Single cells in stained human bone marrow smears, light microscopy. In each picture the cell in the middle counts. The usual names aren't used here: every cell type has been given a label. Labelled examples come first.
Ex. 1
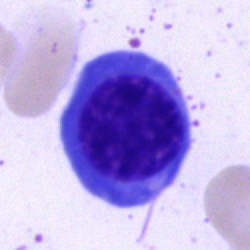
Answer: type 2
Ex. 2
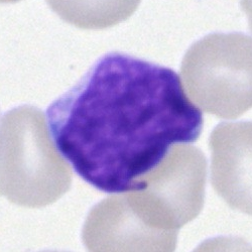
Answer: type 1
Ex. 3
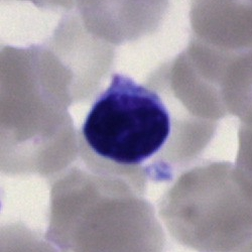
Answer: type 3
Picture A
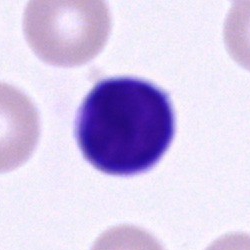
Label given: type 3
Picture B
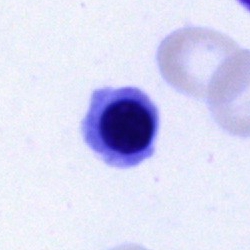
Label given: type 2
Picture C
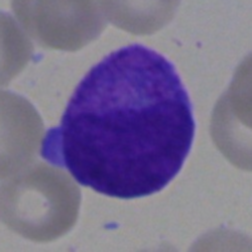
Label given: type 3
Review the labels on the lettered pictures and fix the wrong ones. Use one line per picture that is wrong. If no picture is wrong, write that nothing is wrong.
C: change type 3 to type 1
